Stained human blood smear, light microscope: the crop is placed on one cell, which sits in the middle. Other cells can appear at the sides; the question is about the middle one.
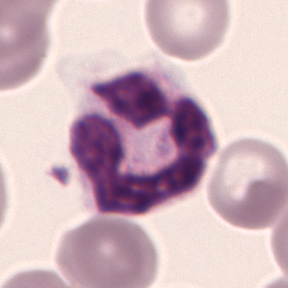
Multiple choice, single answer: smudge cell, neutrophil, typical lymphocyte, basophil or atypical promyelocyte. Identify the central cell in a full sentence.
The centrally placed cell is classified as a neutrophil.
